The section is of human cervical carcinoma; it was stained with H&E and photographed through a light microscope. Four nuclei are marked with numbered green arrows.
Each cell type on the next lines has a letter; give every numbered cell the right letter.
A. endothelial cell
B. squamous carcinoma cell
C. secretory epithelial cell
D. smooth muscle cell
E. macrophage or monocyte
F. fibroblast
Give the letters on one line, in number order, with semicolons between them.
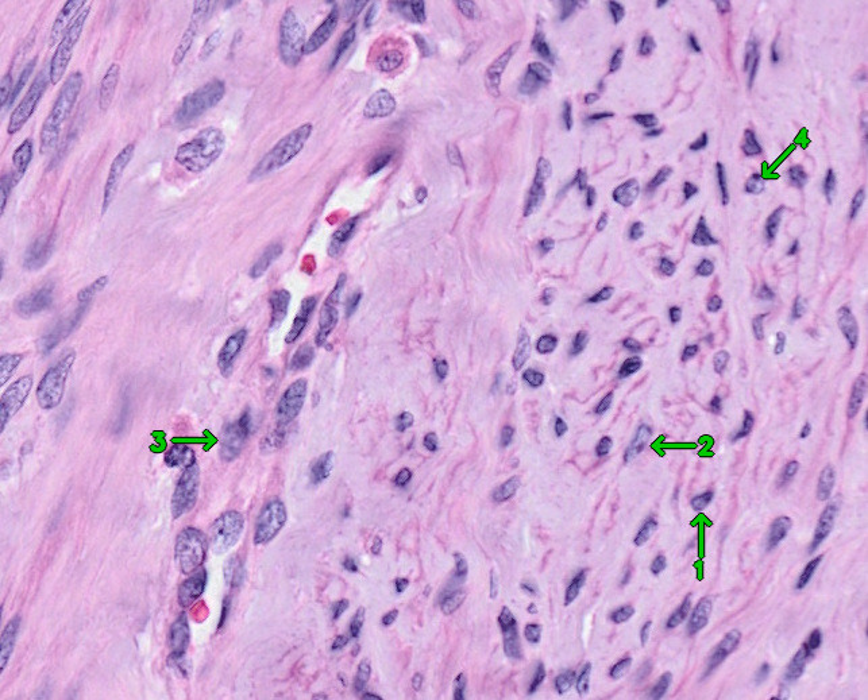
D; D; A; D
